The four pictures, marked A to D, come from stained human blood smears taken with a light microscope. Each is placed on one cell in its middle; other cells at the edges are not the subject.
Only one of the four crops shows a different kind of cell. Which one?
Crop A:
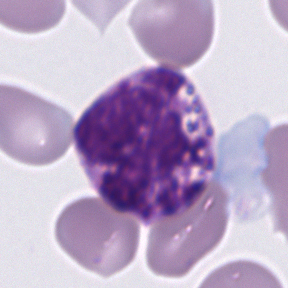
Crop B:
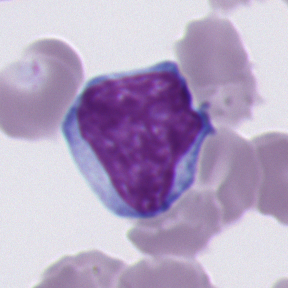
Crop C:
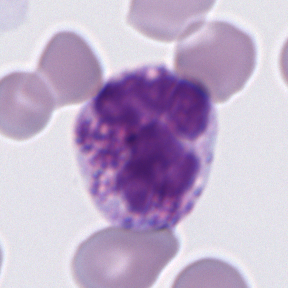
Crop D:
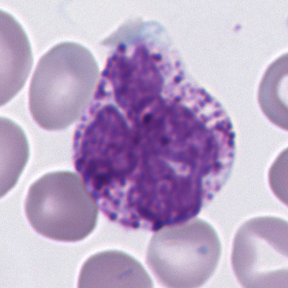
B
